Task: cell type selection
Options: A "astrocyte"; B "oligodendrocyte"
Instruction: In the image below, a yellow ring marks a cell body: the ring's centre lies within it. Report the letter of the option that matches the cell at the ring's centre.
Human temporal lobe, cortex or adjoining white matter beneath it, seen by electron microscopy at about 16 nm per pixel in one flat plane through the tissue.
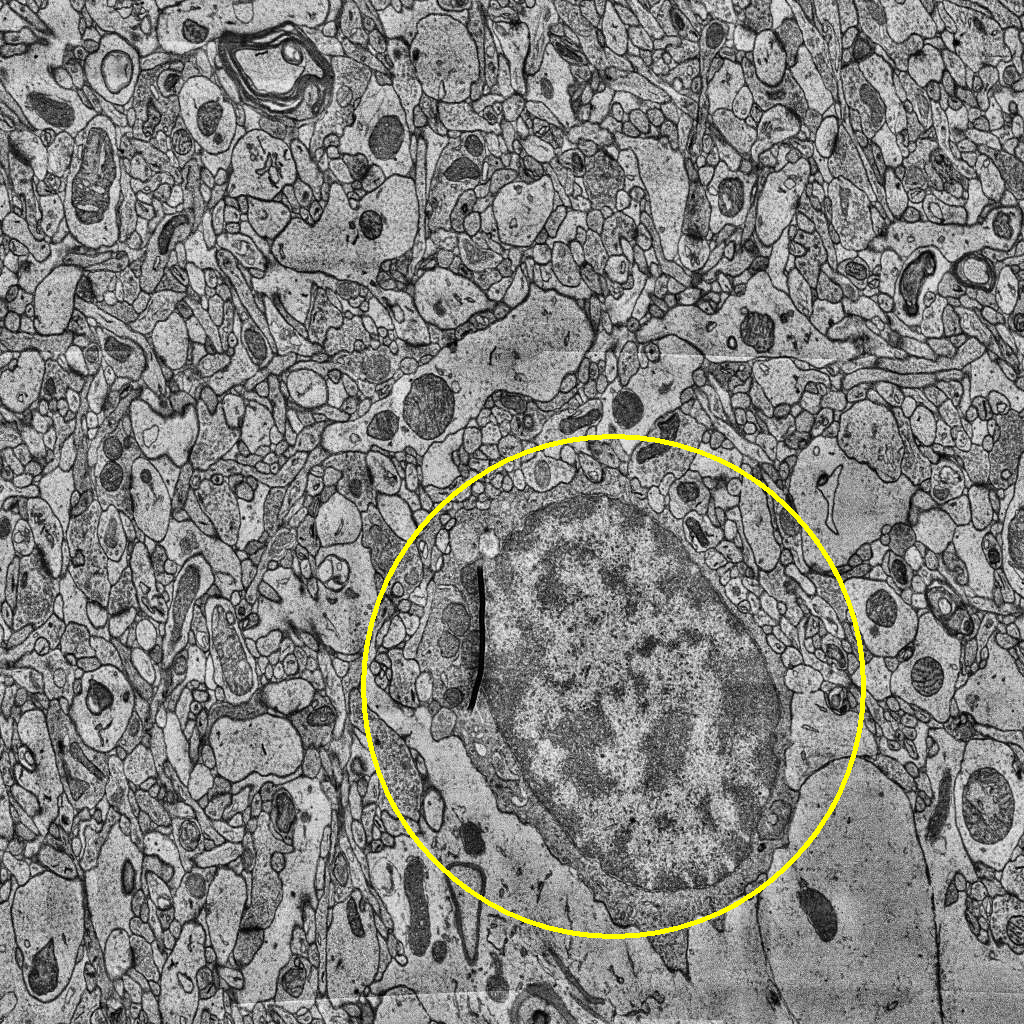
B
